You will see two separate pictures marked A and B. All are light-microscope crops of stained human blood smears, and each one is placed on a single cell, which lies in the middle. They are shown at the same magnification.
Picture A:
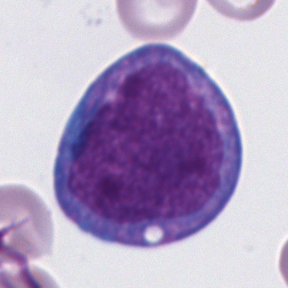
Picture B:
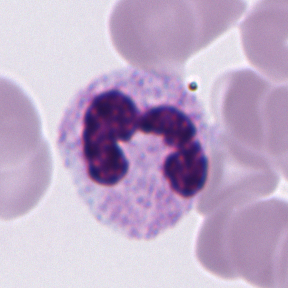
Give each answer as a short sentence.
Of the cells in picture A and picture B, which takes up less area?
Picture B holds the smaller cell, since the cell in picture A covers about 1.5 times as much area.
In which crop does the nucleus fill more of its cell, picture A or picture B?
It is the cell in picture A that is filled more by its nucleus.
